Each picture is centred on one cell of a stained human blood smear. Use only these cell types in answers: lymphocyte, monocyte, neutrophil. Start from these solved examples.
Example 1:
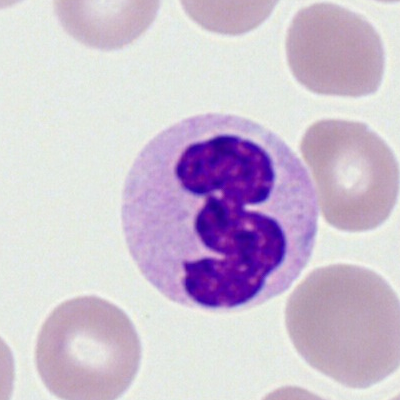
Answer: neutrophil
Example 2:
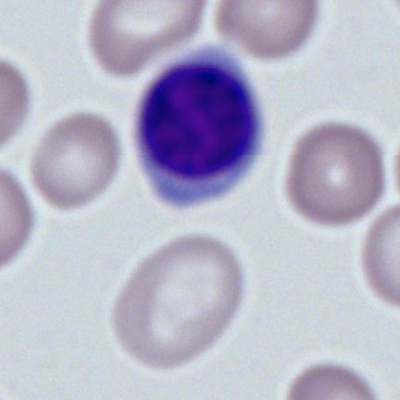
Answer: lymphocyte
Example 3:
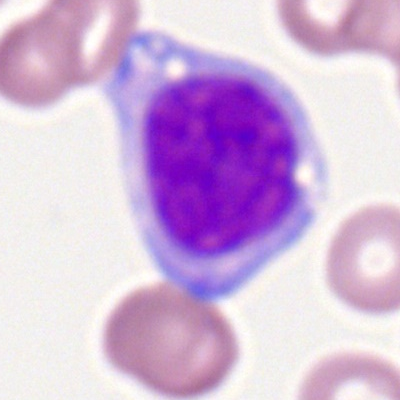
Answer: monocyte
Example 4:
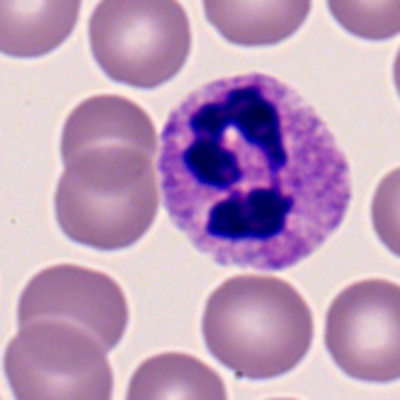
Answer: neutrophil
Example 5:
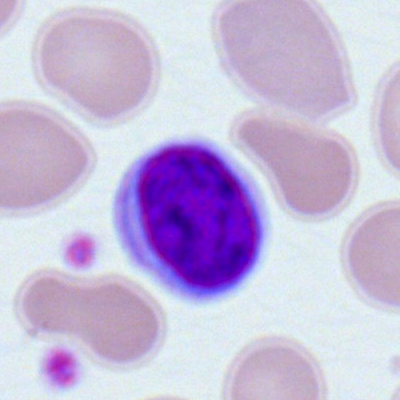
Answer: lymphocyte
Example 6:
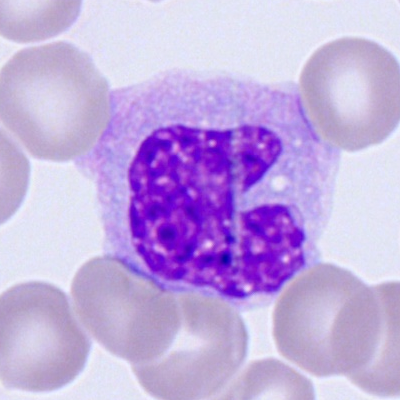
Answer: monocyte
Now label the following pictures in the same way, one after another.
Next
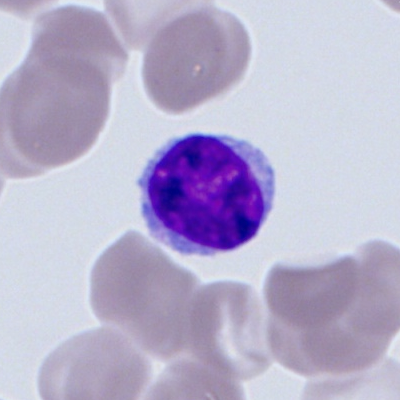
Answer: lymphocyte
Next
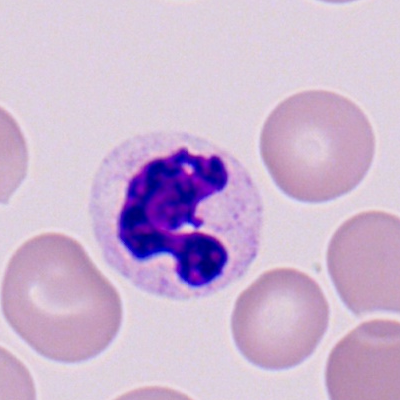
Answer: neutrophil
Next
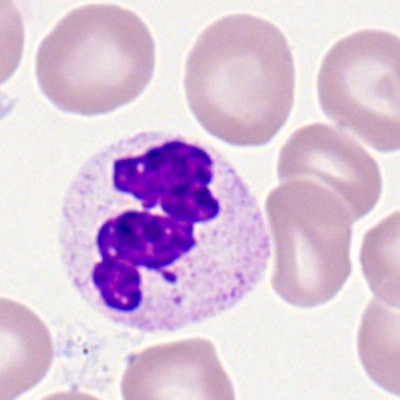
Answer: neutrophil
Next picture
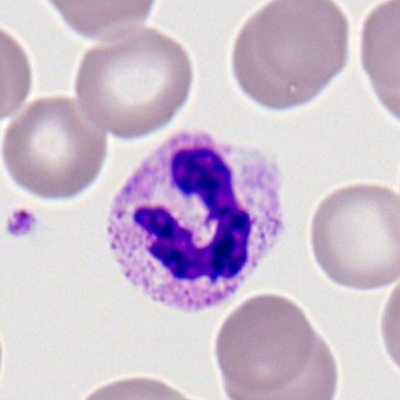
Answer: neutrophil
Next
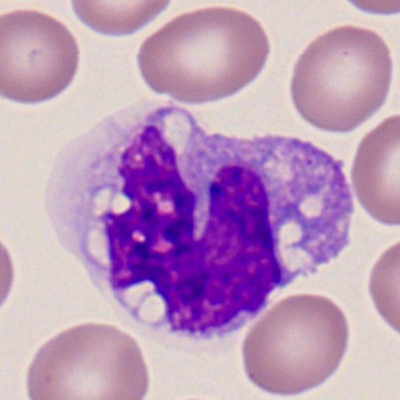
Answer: monocyte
